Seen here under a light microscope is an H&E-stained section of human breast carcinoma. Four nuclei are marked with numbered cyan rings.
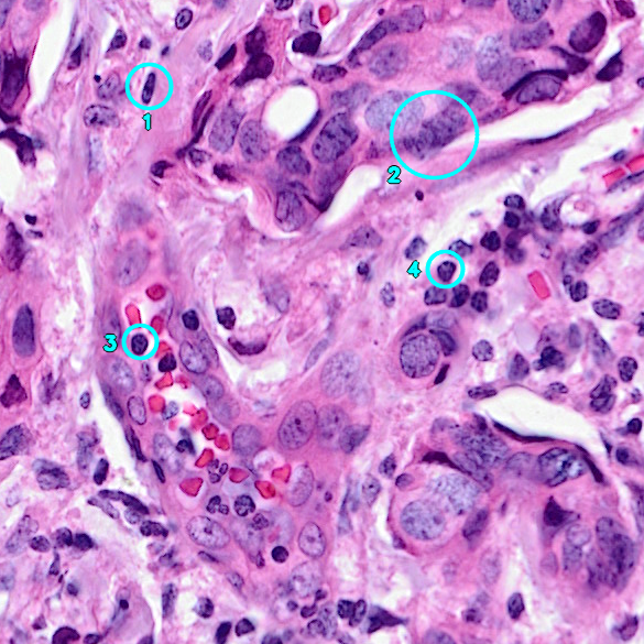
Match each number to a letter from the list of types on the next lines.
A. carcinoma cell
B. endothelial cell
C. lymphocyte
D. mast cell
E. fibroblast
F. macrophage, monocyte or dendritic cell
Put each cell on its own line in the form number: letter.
1: C
2: A
3: C
4: C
